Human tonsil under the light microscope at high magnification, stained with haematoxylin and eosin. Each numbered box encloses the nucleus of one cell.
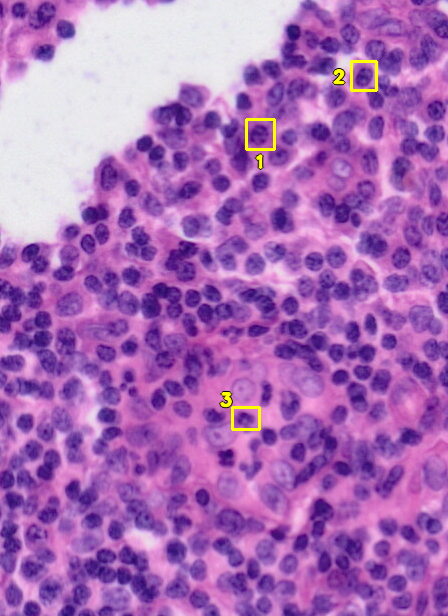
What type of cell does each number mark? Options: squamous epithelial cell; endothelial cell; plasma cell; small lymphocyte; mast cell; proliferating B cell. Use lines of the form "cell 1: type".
cell 1: plasma cell
cell 2: plasma cell
cell 3: endothelial cell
